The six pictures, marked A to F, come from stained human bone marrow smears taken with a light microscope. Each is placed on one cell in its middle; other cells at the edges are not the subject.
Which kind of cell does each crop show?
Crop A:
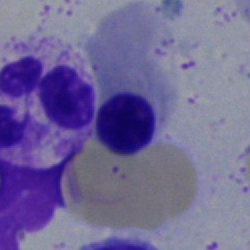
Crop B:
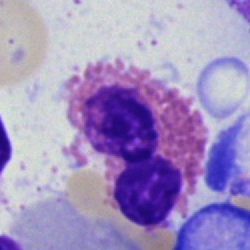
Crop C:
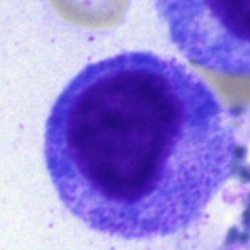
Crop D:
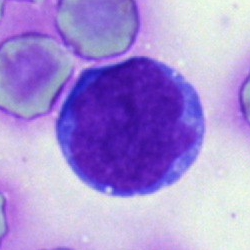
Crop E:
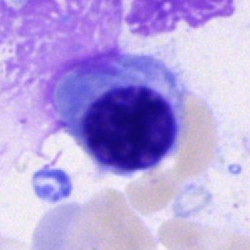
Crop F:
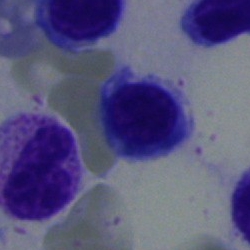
A: erythroblast
B: eosinophil
C: promyelocyte
D: blast
E: erythroblast
F: lymphocyte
